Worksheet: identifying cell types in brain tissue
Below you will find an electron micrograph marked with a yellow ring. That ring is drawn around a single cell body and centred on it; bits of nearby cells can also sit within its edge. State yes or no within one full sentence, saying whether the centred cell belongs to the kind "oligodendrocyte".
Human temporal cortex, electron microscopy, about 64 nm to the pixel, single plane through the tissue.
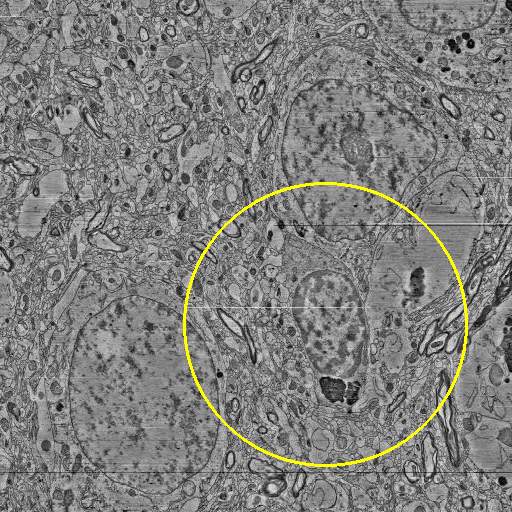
Yes, the cell sitting at the centre of the yellow ring in this picture is of that kind.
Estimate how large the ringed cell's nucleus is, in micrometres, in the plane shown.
In this plane, about 7 by 4 micrometres: the nucleus is clearly longer than it is wide.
